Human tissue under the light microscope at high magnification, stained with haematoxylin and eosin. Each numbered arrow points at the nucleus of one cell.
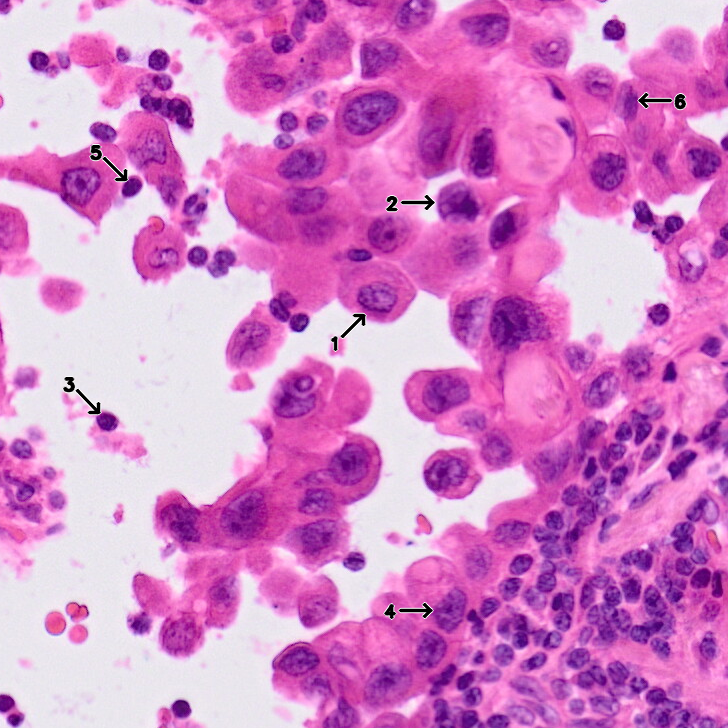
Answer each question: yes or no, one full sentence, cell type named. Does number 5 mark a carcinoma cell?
No, the nucleus numbered 5 belongs to a lymphocyte, not a carcinoma cell.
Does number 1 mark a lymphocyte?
No, instead of a lymphocyte, the cell with number 1 is a carcinoma cell.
